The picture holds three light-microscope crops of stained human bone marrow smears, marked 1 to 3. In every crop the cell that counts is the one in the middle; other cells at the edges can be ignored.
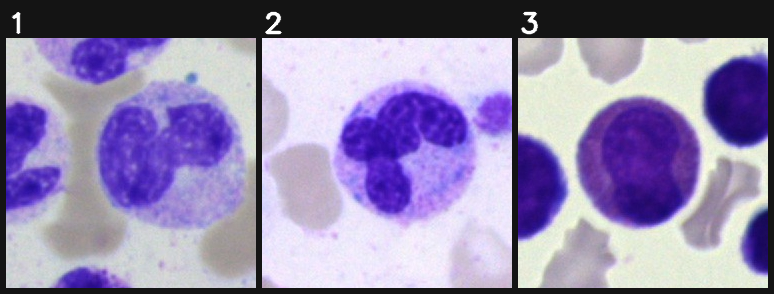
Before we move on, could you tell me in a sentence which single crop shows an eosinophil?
The one crop that shows an eosinophil is crop 3.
